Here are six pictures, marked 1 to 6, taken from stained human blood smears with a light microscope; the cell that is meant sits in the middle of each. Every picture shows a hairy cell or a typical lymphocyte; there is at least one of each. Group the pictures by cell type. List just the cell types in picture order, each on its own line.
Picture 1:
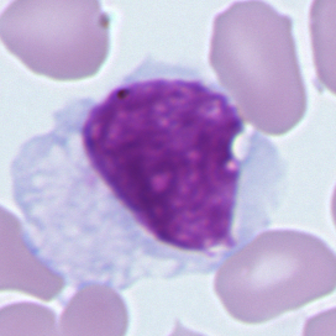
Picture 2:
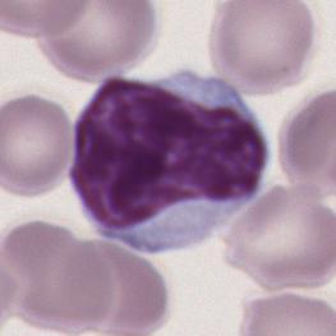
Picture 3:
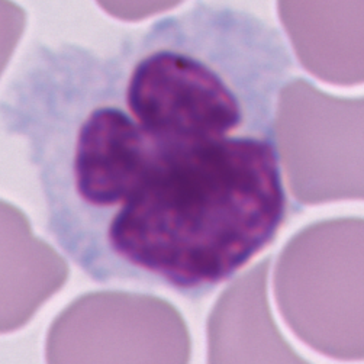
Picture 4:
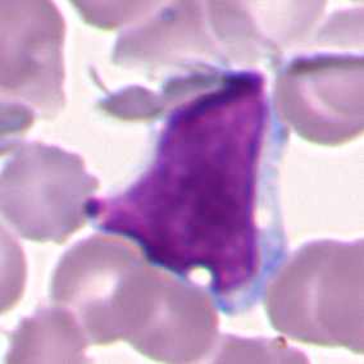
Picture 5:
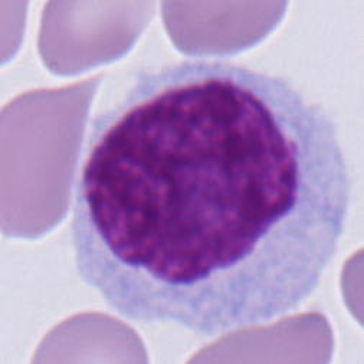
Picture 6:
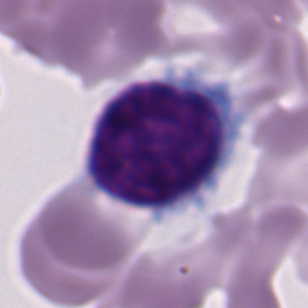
hairy cell
typical lymphocyte
hairy cell
typical lymphocyte
hairy cell
hairy cell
